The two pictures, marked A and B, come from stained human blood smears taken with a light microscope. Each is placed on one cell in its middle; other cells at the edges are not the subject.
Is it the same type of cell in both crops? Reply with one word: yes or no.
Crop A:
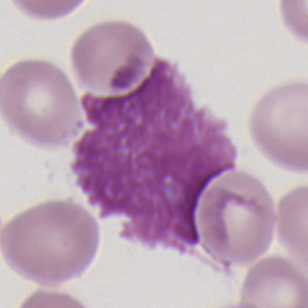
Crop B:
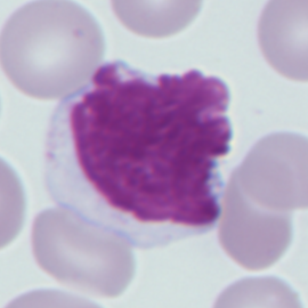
yes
